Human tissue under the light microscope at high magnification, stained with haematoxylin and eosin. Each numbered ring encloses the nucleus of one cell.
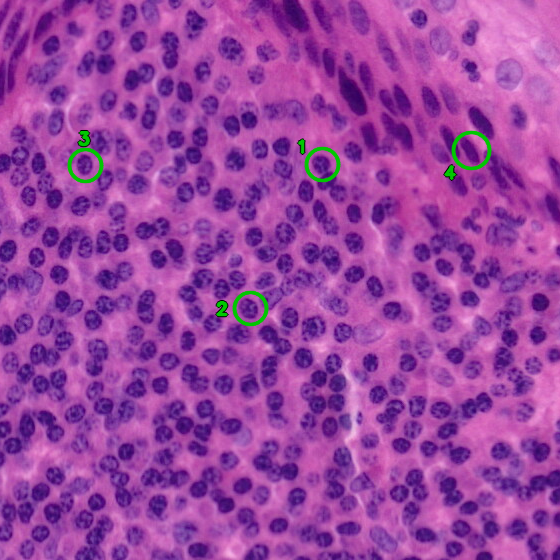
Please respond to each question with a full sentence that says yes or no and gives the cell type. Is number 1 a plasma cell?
Yes, the cell with number 1 is a plasma cell.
